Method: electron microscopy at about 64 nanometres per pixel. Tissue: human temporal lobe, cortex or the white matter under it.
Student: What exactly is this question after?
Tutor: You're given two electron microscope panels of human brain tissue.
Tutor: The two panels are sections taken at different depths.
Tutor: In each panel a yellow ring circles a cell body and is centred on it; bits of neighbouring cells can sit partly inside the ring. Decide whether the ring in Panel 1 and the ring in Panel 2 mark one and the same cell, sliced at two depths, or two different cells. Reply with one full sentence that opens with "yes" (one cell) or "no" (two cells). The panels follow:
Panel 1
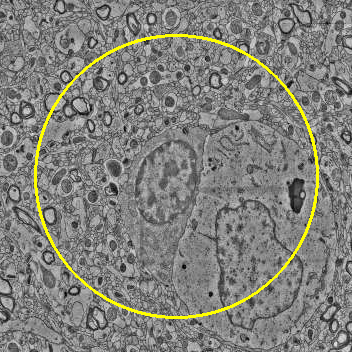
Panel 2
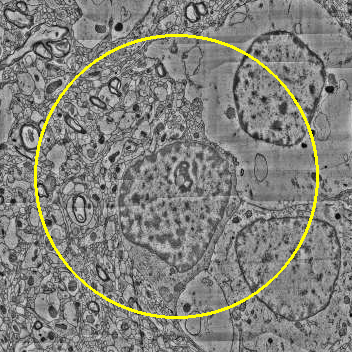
No, the circled cells number two, not one.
